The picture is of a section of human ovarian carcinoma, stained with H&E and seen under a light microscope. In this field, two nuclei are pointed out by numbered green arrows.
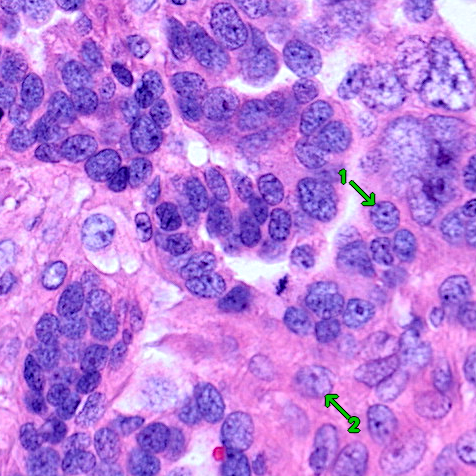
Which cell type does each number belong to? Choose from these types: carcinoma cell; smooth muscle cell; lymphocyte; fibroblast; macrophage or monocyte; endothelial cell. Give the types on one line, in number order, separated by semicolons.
carcinoma cell; fibroblast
